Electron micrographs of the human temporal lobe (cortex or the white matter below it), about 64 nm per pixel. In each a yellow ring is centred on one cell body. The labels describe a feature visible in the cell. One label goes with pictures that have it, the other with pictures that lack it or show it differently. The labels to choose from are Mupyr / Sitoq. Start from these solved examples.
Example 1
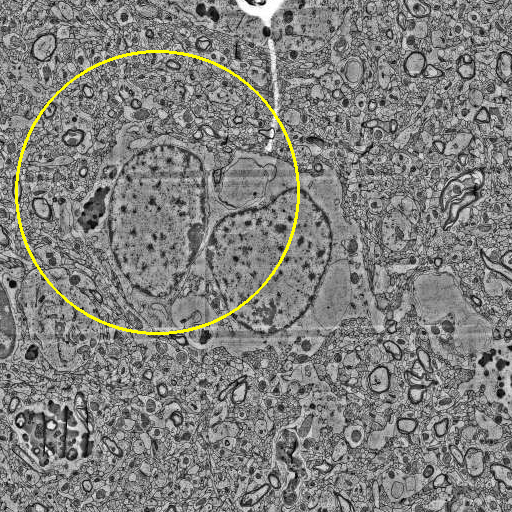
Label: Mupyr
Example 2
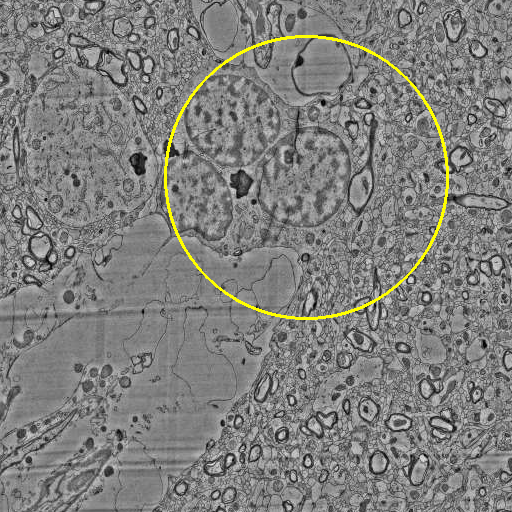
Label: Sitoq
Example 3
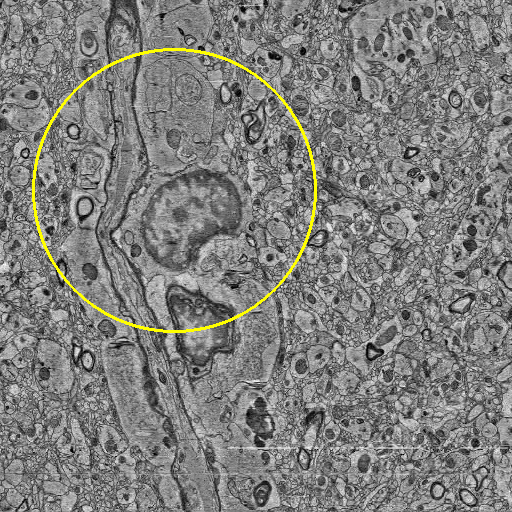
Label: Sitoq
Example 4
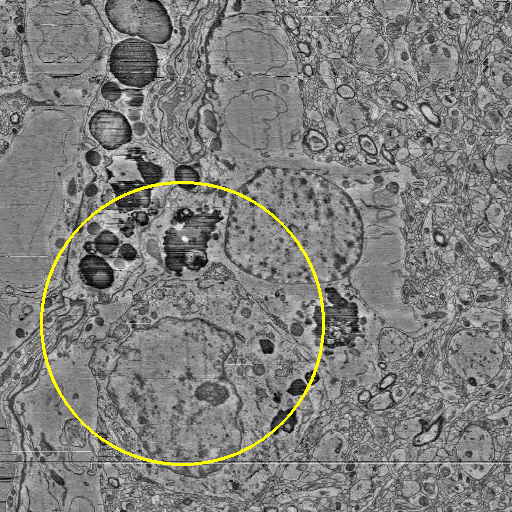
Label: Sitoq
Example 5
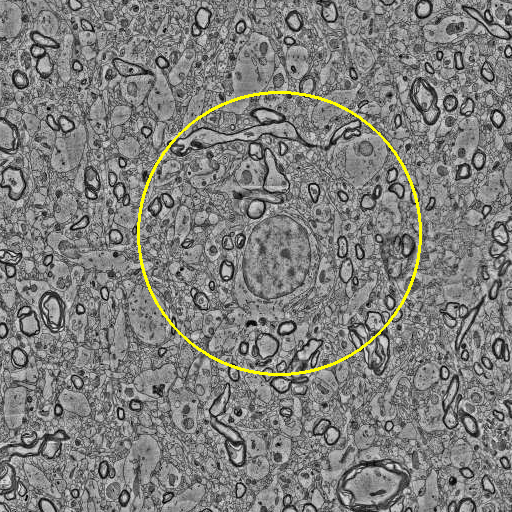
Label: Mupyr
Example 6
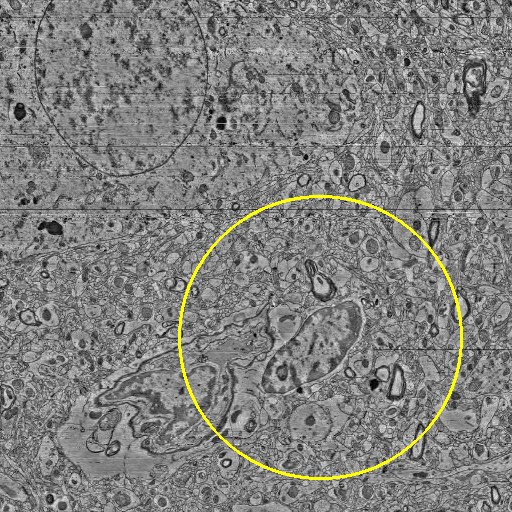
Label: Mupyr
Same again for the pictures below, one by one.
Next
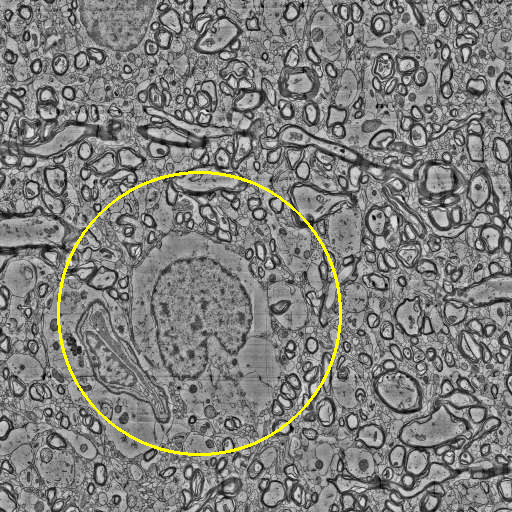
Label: Sitoq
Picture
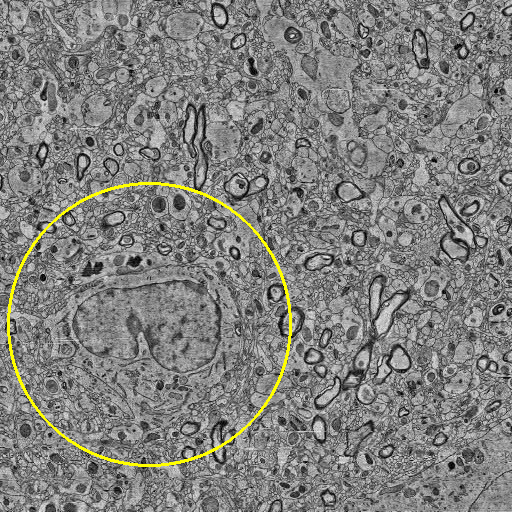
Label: Sitoq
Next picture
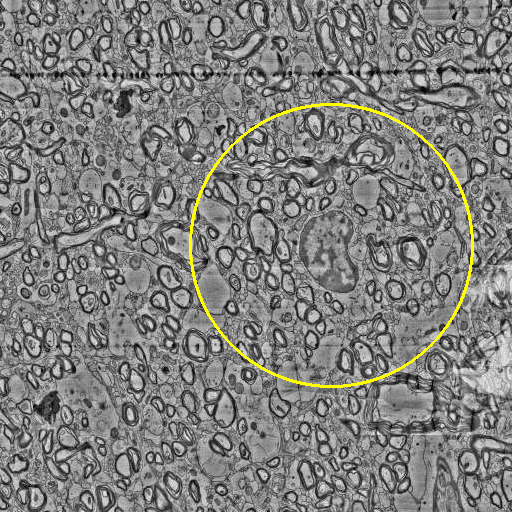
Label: Sitoq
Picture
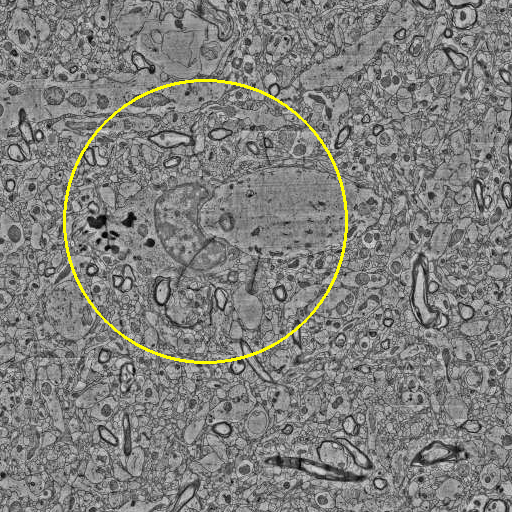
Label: Sitoq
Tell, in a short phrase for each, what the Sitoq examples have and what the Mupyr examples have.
Seen in Sitoq: deeply folded or indented nuclear envelopes; seen in Mupyr: smooth nuclear envelopes without deep folds.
